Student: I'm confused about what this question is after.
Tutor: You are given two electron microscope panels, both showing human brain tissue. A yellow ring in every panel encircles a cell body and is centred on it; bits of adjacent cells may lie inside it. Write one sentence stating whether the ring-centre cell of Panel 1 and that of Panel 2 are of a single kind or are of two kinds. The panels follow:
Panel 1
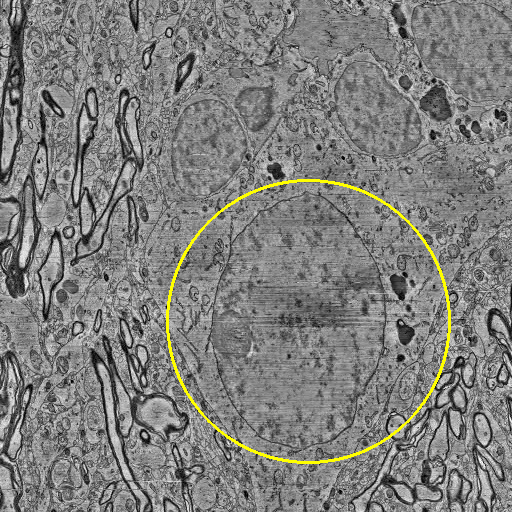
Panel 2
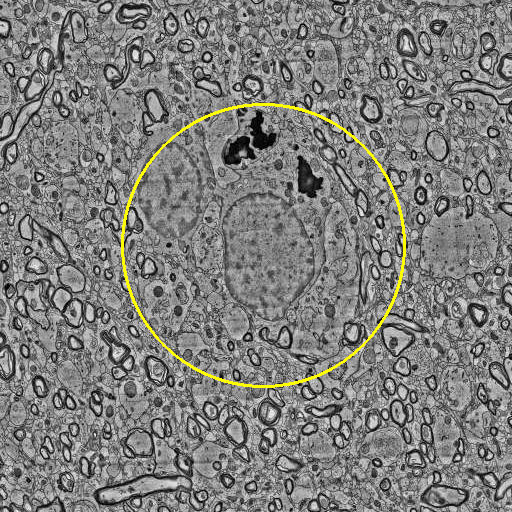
Here, the Panel 1 ring-centre cell and the Panel 2 ring-centre cell are of two kinds.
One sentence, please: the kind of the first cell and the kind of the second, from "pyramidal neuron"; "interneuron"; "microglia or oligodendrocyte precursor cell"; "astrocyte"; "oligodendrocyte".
The ring in the first picture surrounds a pyramidal neuron, and the ring in the second surrounds an oligodendrocyte.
